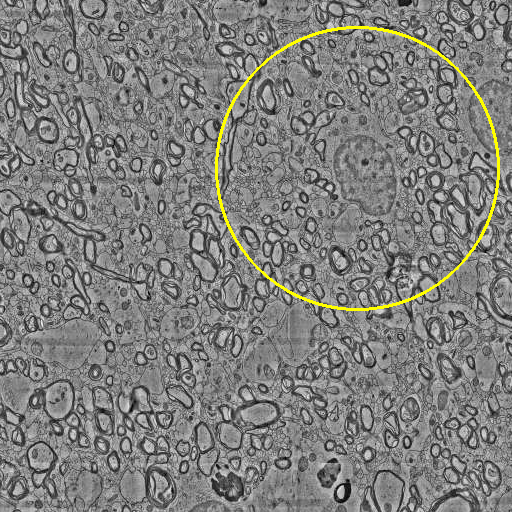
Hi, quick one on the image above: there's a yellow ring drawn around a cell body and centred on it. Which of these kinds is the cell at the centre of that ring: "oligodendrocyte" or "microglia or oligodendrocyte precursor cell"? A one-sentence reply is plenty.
The cell at the centre of the ring is an oligodendrocyte.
